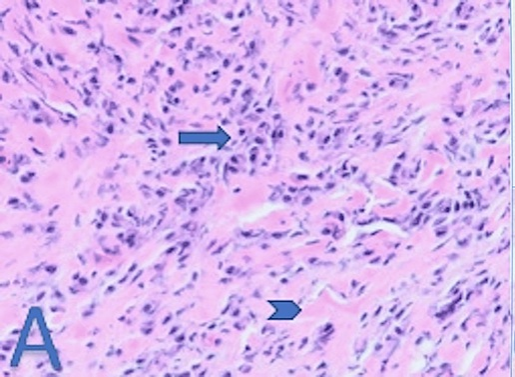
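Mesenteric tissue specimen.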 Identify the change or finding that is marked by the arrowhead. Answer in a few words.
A: Storiform fibrous proliferation.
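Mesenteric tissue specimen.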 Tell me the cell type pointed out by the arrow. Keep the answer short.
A: plasma cells and lymphocytes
